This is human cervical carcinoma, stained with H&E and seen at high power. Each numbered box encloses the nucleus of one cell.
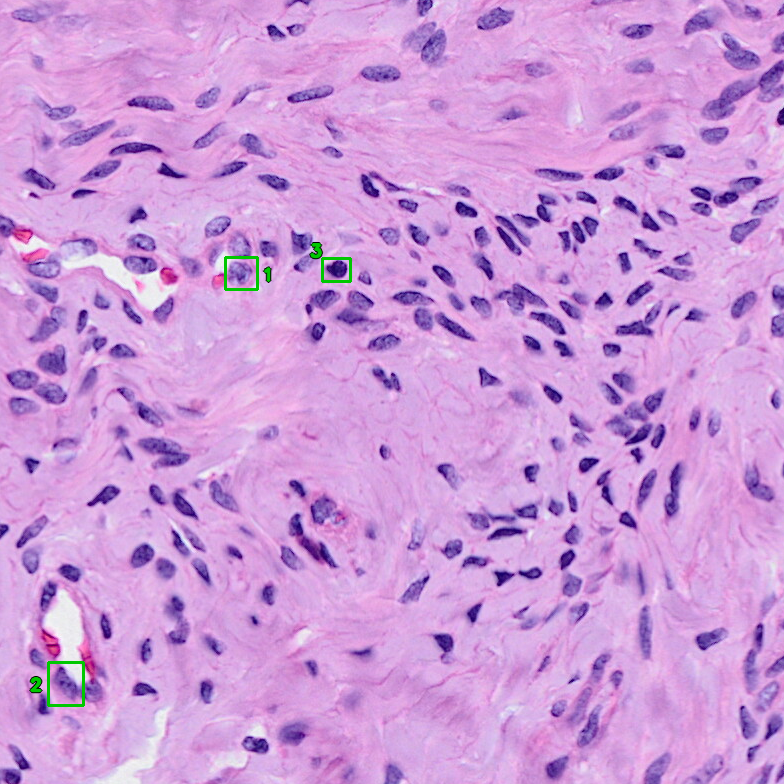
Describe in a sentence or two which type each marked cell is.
Cell 1 is an endothelial cell, cell 2 is an endothelial cell and cell 3 is a lymphocyte.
